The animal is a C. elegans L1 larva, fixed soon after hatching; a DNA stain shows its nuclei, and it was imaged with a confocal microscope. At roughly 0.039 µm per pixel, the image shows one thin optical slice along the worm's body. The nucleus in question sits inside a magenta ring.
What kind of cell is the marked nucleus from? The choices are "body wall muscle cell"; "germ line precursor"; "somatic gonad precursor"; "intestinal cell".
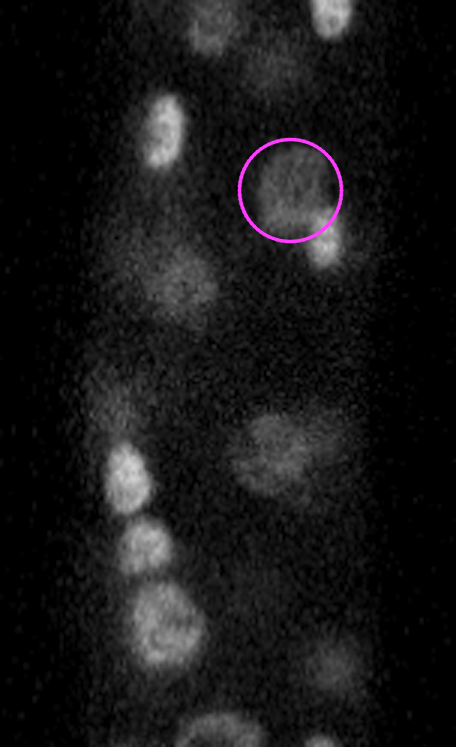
intestinal cell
